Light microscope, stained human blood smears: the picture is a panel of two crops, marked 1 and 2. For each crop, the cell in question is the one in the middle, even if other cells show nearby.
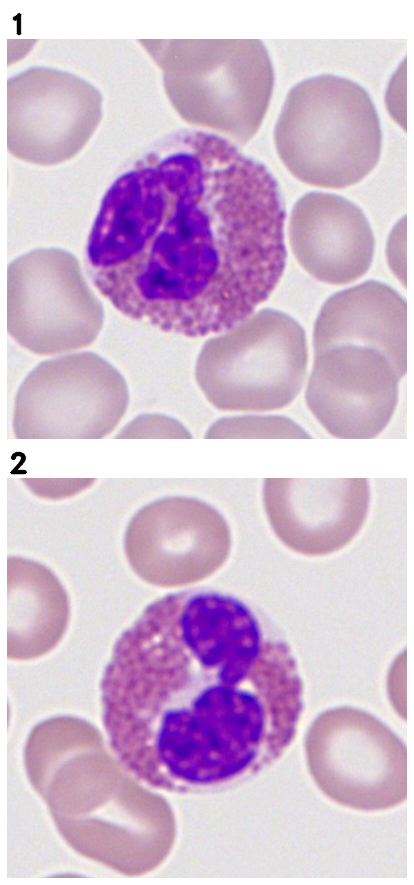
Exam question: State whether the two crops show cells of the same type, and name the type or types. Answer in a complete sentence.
Yes, the two crops show eosinophils, both of them.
